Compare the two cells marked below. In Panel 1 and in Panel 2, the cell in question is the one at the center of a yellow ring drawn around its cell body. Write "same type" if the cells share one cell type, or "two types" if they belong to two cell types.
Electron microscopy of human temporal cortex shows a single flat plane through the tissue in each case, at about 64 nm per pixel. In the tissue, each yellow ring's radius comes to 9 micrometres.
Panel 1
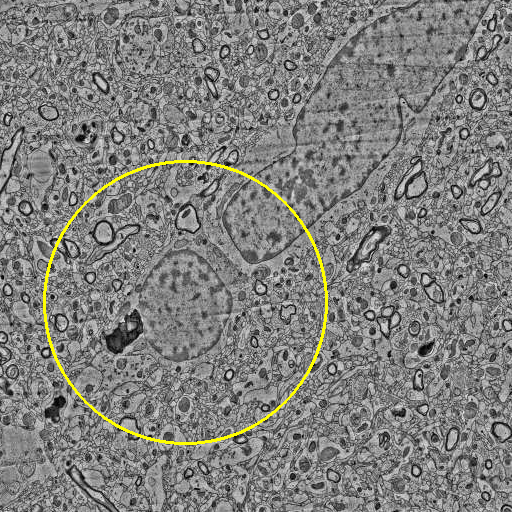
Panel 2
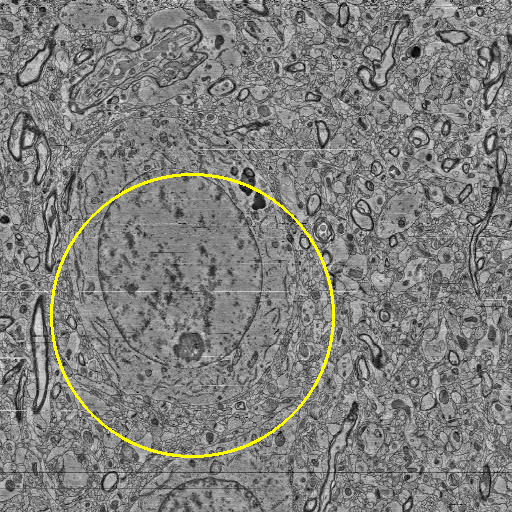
two types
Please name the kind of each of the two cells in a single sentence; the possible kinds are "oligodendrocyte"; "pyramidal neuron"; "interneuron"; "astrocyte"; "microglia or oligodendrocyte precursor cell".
In the first picture the ring is centred on an oligodendrocyte, and in the second on a pyramidal neuron.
